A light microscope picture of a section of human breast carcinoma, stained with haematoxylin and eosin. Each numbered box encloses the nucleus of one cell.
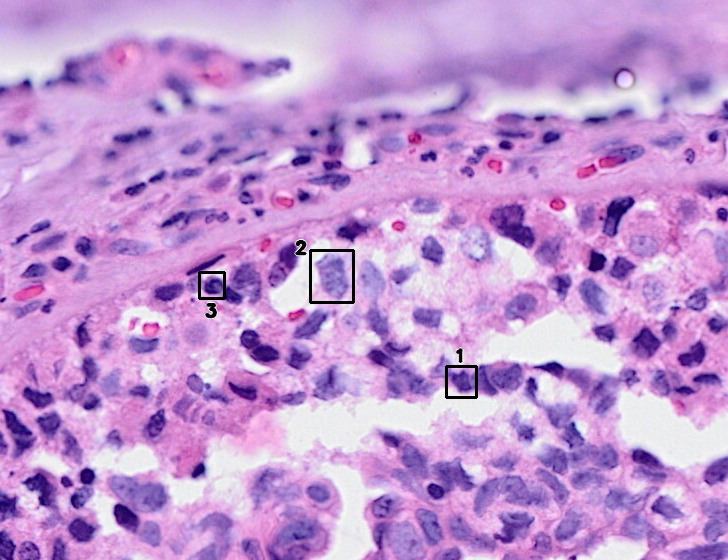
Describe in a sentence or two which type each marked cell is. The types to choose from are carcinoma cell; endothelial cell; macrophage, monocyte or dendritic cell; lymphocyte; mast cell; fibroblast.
Cells 1 and 2 are carcinoma cells. Cell 3 is a lymphocyte.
